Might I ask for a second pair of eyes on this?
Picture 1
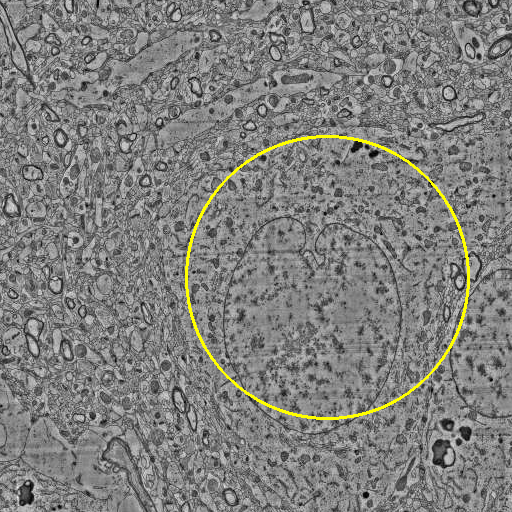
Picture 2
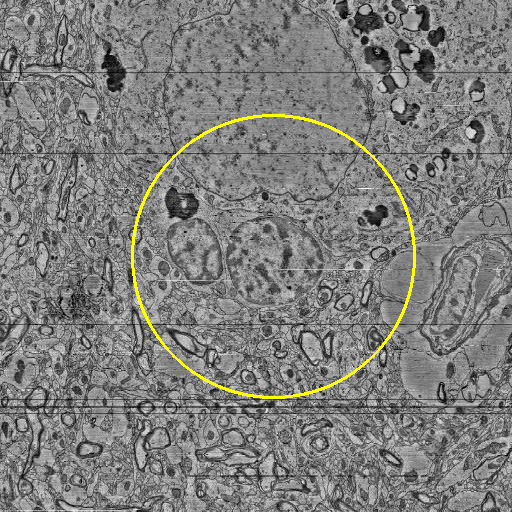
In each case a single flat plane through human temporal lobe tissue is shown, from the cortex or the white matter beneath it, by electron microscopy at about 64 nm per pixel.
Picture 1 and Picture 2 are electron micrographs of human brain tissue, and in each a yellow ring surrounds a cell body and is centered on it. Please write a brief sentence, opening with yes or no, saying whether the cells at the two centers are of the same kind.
No, the cells are of two kinds.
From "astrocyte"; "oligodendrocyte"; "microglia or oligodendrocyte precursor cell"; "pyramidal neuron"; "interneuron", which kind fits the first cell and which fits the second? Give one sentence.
The cell marked in the first picture is a pyramidal neuron, and the one marked in the second is an oligodendrocyte.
